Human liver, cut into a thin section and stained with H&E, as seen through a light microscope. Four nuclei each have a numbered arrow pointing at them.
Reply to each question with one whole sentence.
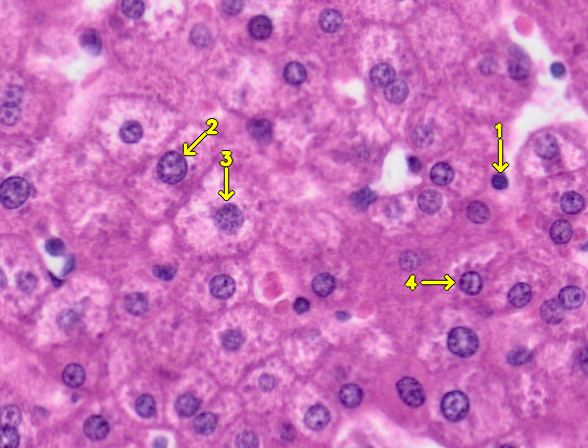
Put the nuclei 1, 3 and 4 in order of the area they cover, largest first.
Largest first, the order by area is 3, 4, 1.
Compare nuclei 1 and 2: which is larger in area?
Of the two, number 2 is bigger and takes up about 3 times the area of number 1.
